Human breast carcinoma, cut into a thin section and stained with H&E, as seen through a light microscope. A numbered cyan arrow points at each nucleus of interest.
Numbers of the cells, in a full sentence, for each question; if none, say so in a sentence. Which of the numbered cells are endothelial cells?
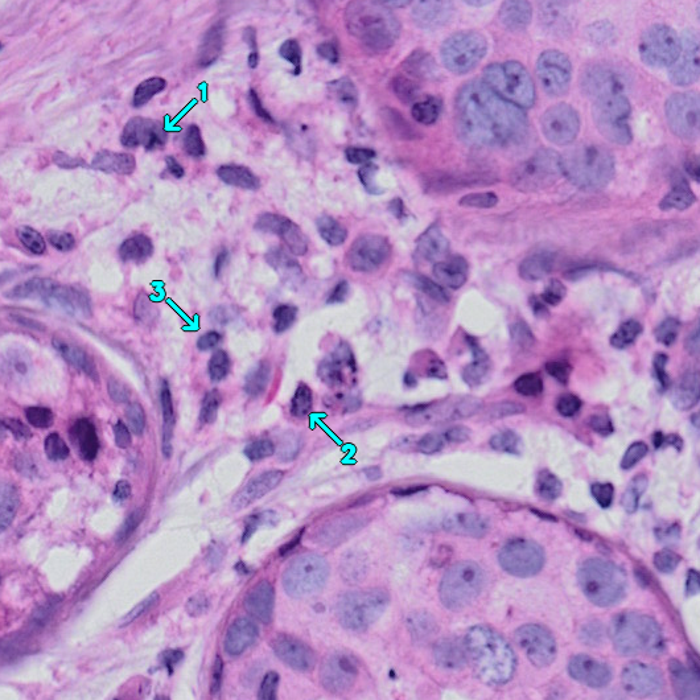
No endothelial cells are present among the numbered cells.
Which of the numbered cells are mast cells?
Only nucleus 2 belongs to a mast cell; the other numbered nuclei do not.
